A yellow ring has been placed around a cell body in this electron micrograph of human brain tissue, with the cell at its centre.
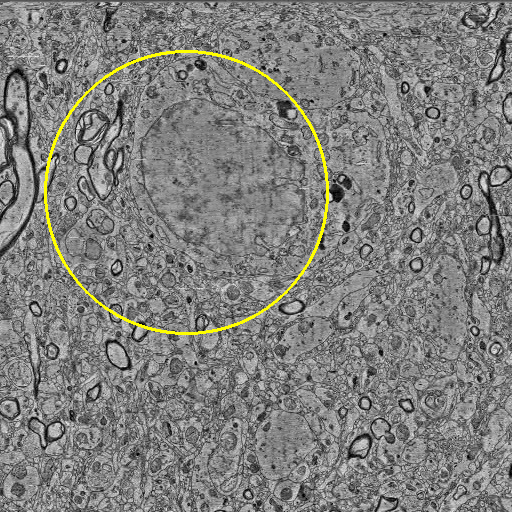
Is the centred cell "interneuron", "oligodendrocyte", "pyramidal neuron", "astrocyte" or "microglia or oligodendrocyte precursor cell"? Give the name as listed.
interneuron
